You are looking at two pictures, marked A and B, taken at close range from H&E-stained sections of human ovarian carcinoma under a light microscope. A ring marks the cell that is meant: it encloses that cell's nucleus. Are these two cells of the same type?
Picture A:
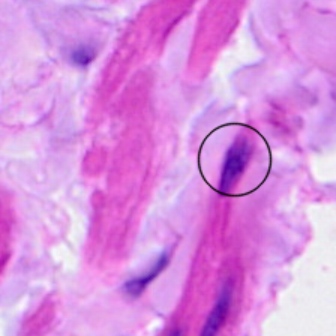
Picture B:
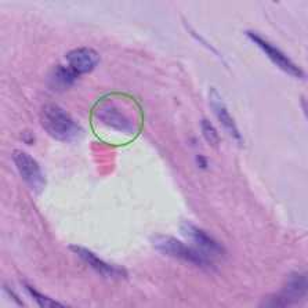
no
